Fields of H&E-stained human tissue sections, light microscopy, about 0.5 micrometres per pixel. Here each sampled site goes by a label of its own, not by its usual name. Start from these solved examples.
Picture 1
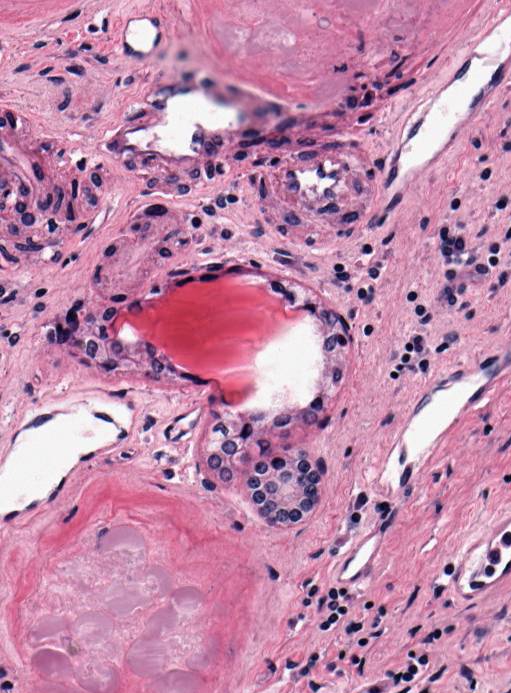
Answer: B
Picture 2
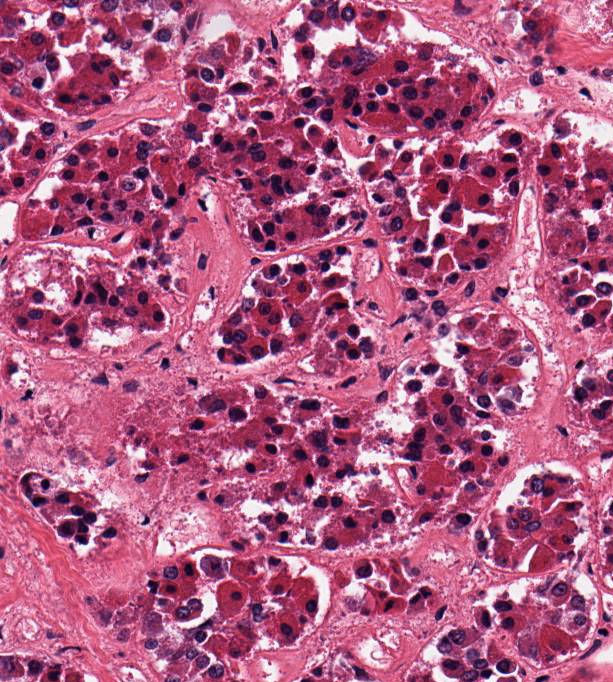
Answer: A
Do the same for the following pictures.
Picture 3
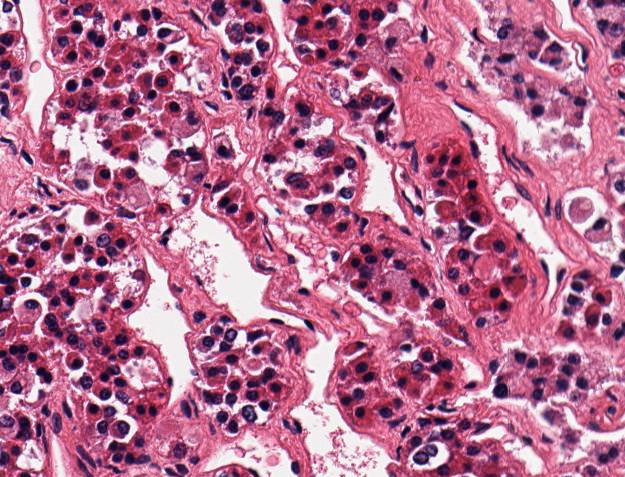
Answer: A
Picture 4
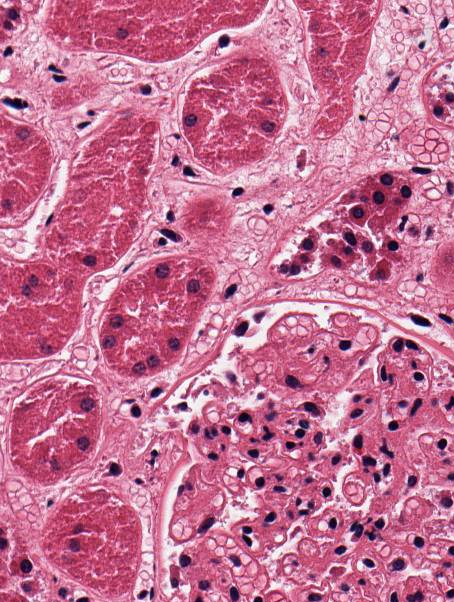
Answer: B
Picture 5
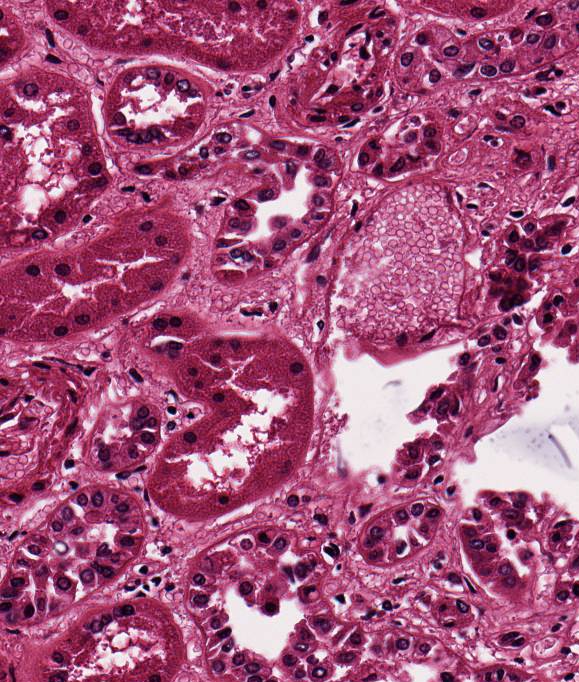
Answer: B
